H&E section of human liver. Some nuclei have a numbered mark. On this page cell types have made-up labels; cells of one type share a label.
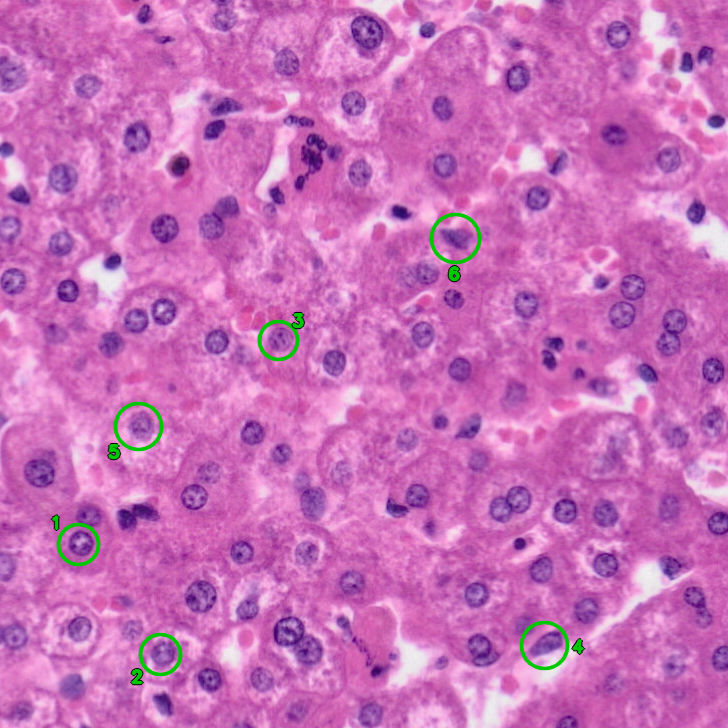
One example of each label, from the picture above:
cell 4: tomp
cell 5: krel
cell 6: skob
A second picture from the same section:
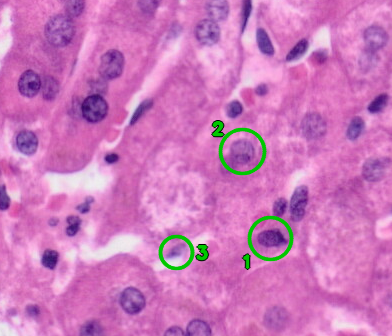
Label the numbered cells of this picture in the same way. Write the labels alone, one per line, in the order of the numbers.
tomp
krel
skob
